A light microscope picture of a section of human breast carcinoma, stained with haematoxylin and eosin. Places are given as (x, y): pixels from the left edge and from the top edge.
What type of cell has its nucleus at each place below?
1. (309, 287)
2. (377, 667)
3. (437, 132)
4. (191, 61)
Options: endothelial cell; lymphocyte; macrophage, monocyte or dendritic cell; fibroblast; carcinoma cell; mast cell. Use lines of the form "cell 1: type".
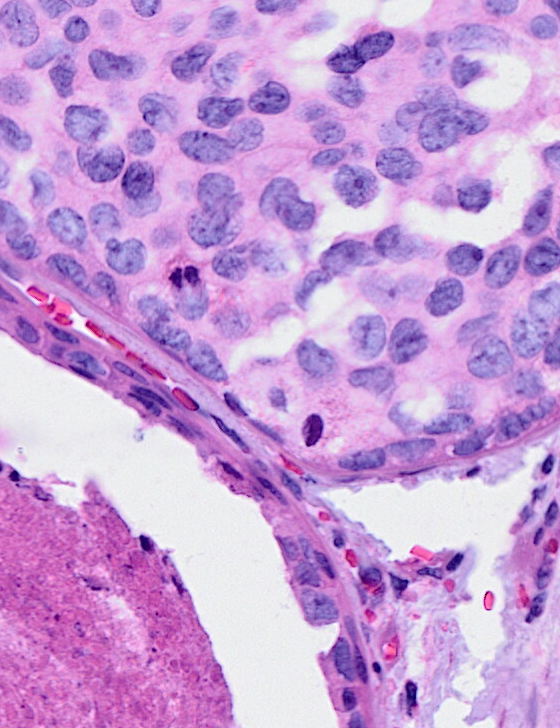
cell 1: carcinoma cell
cell 2: endothelial cell
cell 3: carcinoma cell
cell 4: carcinoma cell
